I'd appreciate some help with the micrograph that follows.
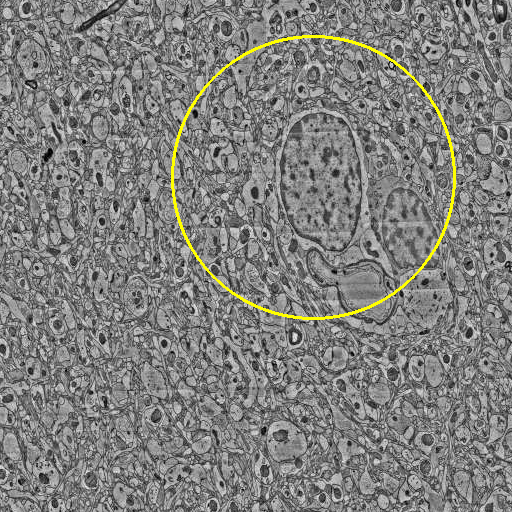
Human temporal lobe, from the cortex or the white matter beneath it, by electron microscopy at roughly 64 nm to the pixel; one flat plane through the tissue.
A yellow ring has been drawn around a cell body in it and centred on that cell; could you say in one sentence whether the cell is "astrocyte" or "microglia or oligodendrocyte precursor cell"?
It is a microglial cell or oligodendrocyte precursor cell at the centre of the ring.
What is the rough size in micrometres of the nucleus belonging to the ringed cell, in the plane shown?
In this plane the nucleus is roughly 9 by 5 micrometres, clearly longer than it is wide.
